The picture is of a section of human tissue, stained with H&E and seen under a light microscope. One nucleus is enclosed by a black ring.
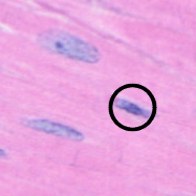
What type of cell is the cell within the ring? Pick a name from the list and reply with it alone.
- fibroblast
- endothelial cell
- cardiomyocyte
endothelial cell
